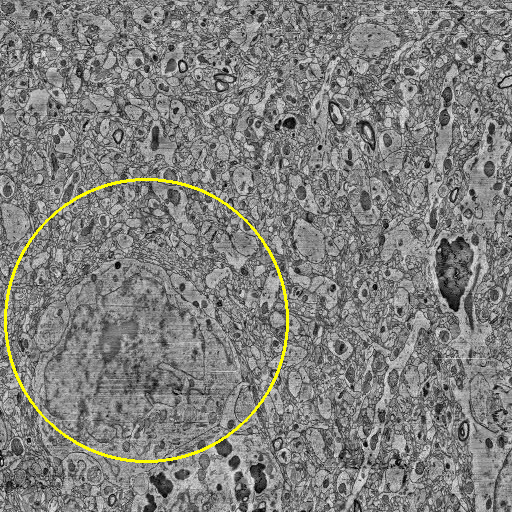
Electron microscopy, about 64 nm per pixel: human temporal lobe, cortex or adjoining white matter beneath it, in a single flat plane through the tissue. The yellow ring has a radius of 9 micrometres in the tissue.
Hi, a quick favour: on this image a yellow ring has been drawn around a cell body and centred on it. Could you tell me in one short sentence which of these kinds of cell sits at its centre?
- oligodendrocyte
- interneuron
The ring is centred on an interneuron.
